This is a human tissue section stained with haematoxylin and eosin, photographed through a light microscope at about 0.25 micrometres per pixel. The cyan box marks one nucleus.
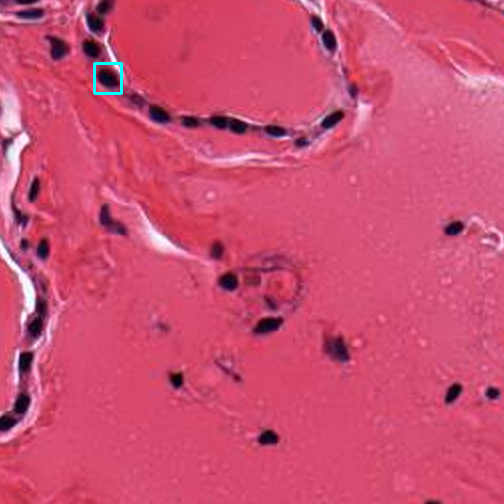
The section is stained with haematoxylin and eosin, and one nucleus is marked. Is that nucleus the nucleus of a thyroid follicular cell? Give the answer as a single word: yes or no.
yes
